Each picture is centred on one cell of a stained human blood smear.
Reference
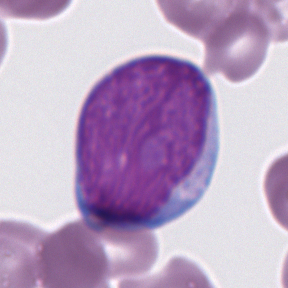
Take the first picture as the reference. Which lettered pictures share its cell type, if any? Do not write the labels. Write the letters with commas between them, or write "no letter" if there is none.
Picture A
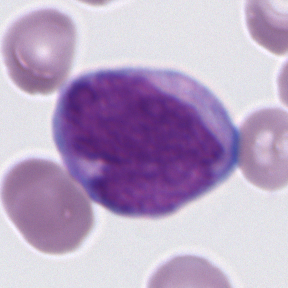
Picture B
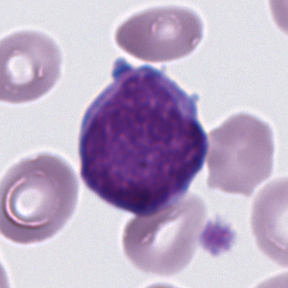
B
